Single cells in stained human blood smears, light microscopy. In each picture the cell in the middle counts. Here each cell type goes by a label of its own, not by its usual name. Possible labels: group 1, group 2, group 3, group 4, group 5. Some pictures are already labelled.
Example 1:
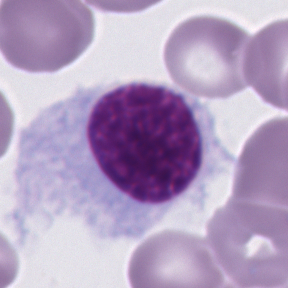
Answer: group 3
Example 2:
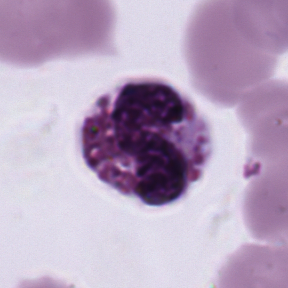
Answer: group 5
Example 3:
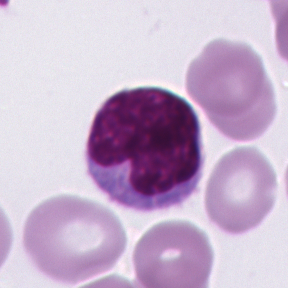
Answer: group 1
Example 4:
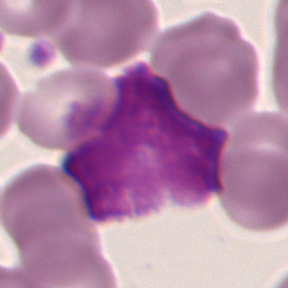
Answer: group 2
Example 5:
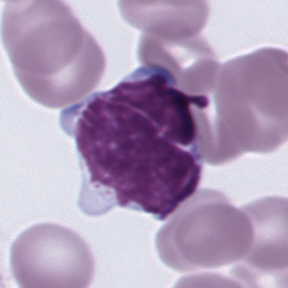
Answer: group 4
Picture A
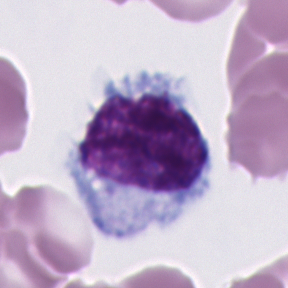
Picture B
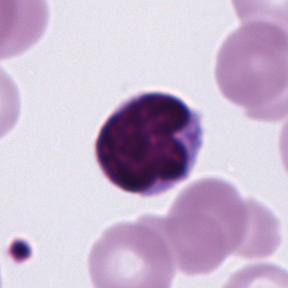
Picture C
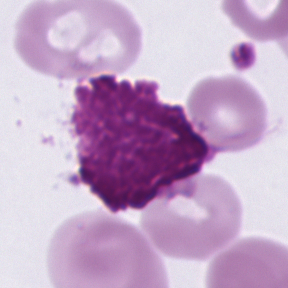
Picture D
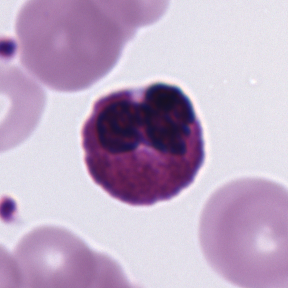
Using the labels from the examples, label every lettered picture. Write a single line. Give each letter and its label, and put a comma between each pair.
A group 3, B group 1, C group 2, D group 5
